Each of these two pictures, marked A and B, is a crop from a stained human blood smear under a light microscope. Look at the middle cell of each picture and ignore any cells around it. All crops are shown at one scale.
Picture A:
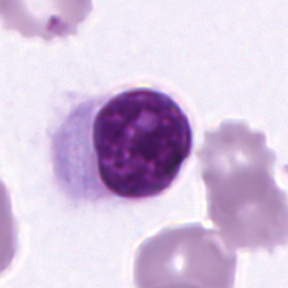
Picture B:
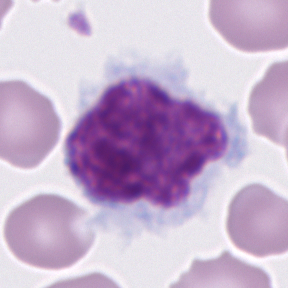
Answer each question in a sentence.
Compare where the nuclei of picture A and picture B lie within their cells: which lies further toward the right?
Seen within its cell, the nucleus in picture A lies further toward the right.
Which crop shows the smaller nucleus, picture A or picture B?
It is the nucleus in picture A; the one in picture B has about 1.5 times its area.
